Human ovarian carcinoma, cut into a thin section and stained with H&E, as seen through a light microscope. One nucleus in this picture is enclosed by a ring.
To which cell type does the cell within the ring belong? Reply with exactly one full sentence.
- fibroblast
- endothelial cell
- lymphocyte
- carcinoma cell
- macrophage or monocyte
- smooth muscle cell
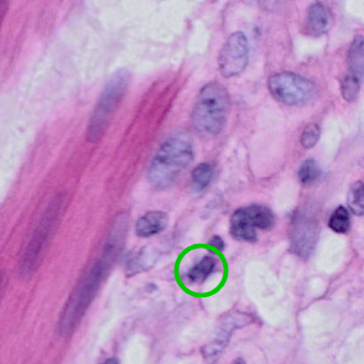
Among the cells in this section, the cell within the ring is a lymphocyte.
